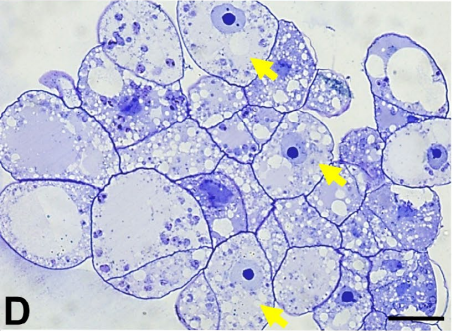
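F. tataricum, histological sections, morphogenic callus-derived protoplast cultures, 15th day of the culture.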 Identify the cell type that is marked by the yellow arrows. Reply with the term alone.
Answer: cells with multiple vacuoles and large nuclei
